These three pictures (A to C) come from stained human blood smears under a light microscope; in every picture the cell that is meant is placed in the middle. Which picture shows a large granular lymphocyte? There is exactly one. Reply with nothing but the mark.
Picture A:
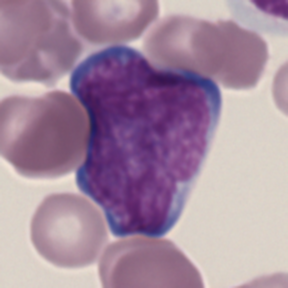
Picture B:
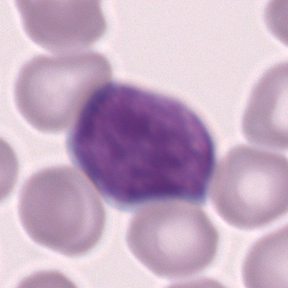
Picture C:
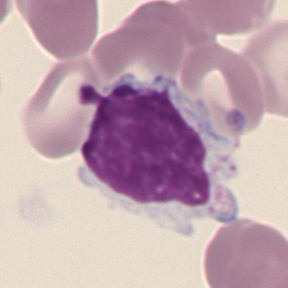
C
